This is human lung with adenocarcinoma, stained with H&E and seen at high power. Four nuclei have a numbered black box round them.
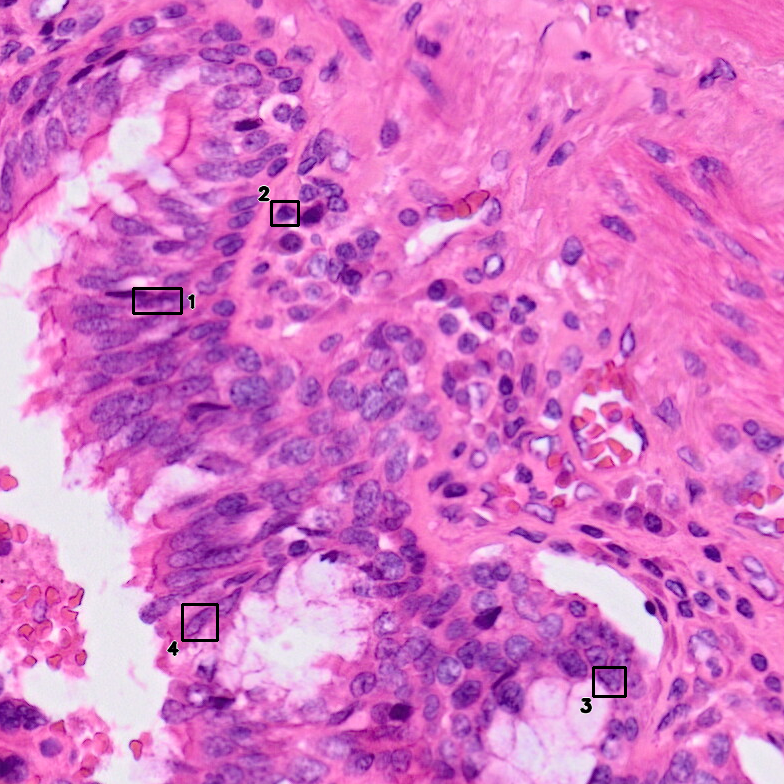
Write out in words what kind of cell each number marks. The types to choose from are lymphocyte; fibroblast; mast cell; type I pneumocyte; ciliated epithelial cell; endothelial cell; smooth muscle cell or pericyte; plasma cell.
Cell 1 is a ciliated epithelial cell, cell 2 is a plasma cell, cell 3 is a ciliated epithelial cell and cell 4 is a ciliated epithelial cell.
